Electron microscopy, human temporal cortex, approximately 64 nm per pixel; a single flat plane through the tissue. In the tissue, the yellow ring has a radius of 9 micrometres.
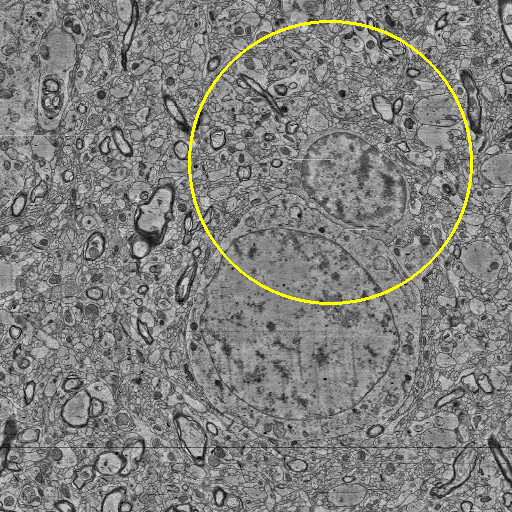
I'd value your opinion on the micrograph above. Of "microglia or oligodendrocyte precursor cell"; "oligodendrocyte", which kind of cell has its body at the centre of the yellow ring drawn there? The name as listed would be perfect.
oligodendrocyte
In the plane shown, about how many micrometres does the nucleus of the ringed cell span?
The nucleus has a long axis of about 8 micrometres and a short axis of about 5 micrometres in this plane.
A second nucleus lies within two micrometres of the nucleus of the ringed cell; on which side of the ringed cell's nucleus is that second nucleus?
The other nucleus sits below it.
